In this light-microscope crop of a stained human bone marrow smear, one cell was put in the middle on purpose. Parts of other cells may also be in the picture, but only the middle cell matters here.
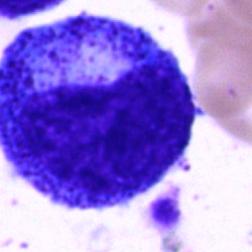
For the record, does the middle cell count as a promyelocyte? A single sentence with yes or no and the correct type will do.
Yes, it is a promyelocyte that is seen at the centre of the crop.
